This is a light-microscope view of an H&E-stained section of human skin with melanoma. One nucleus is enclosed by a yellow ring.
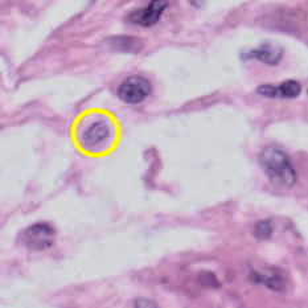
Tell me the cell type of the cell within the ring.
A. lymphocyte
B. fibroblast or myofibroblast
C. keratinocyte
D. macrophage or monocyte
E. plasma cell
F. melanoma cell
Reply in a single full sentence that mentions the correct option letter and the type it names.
Right answer, option D: the cell within the ring is a macrophage or monocyte.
